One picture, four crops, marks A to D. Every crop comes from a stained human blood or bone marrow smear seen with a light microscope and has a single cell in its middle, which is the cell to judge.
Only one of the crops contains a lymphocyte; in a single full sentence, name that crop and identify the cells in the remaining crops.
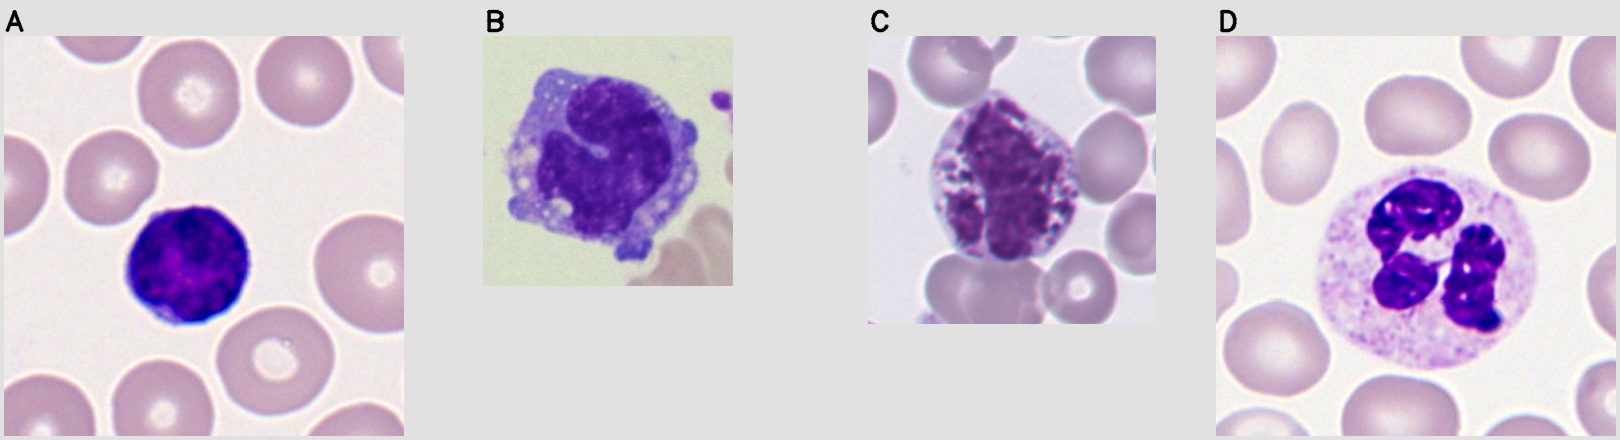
Crop by crop: crop A is a lymphocyte, while crop B is a monocyte, crop C is a basophil and crop D is a segmented neutrophil.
